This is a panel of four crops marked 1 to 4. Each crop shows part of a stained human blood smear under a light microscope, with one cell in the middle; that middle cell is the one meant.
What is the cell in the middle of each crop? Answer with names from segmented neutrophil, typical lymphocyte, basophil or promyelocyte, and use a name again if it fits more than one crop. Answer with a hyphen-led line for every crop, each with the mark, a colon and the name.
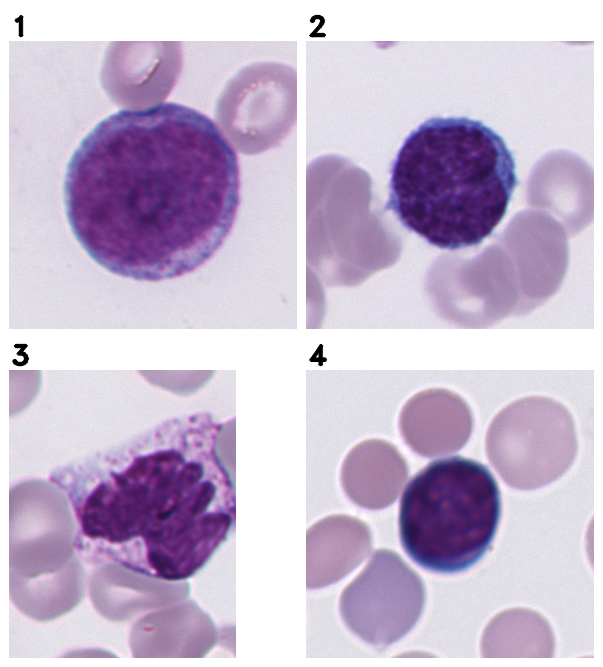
- 1: promyelocyte
- 2: typical lymphocyte
- 3: segmented neutrophil
- 4: typical lymphocyte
